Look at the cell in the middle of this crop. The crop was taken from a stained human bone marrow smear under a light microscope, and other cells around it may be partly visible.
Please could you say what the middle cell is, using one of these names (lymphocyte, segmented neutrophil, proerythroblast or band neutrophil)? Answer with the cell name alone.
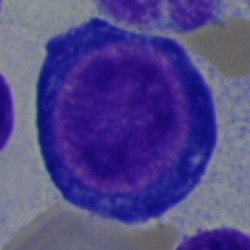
proerythroblast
